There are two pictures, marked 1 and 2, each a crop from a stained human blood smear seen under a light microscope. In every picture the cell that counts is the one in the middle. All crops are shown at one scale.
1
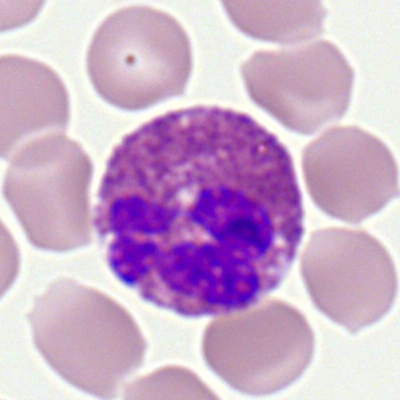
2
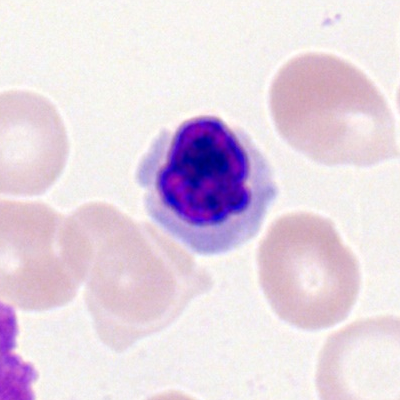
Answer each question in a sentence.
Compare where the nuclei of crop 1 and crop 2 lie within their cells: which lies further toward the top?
Seen within its cell, the nucleus in crop 2 lies further toward the top.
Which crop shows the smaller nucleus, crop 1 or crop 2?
Crop 2 shows the smaller nucleus, since that in crop 1 covers about 1.5 times as much area.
